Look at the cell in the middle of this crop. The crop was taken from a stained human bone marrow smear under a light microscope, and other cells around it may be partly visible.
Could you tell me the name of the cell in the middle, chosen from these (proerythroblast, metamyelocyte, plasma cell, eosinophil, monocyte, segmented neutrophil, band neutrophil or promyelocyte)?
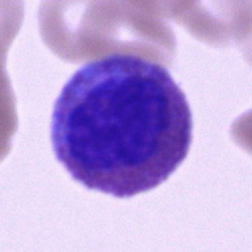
eosinophil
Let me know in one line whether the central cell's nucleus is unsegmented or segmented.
There is one compact nucleus, and its shape is round, oval or kidney-like.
